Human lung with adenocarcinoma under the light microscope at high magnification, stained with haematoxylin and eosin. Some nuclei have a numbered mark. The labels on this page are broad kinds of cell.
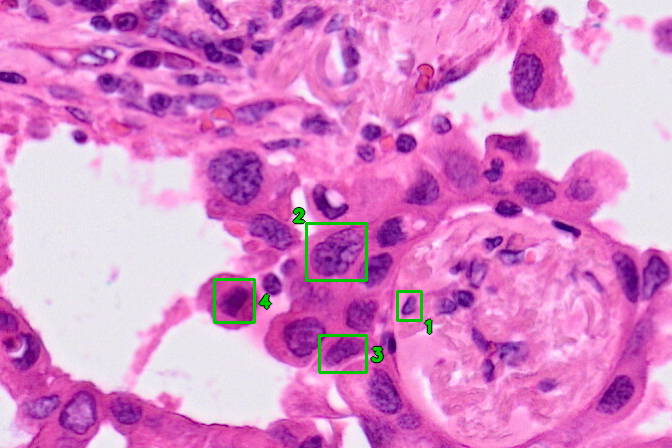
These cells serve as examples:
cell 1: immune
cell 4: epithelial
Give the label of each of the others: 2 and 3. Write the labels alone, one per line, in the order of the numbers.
epithelial
epithelial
